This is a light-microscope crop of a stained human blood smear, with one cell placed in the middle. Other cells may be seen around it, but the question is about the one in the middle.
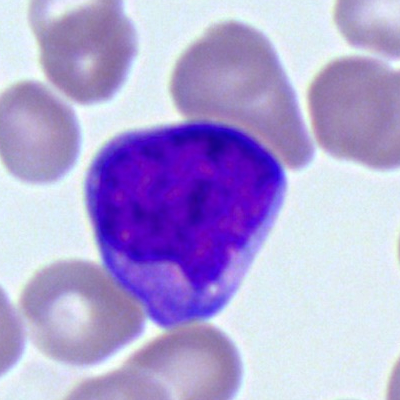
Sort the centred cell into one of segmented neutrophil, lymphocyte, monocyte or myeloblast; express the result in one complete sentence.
The crop centres on a single cell, and that cell is a myeloblast.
